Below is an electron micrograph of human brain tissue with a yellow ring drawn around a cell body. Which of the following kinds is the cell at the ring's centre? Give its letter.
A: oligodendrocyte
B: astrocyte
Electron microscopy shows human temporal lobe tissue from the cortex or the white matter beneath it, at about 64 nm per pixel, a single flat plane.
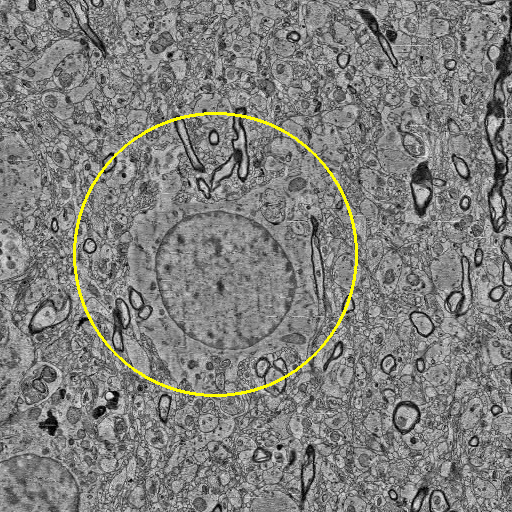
B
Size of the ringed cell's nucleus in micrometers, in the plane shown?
The nucleus is about 9 micrometres across in this plane.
